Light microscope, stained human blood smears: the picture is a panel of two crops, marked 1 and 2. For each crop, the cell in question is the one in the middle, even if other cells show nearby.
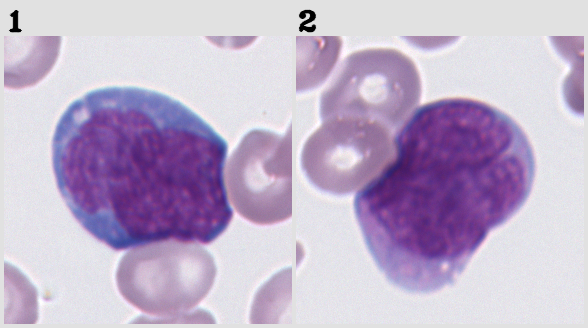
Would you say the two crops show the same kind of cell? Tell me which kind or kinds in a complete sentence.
No, on this set crop 1 shows a myeloblast and crop 2 shows an atypical promyelocyte.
